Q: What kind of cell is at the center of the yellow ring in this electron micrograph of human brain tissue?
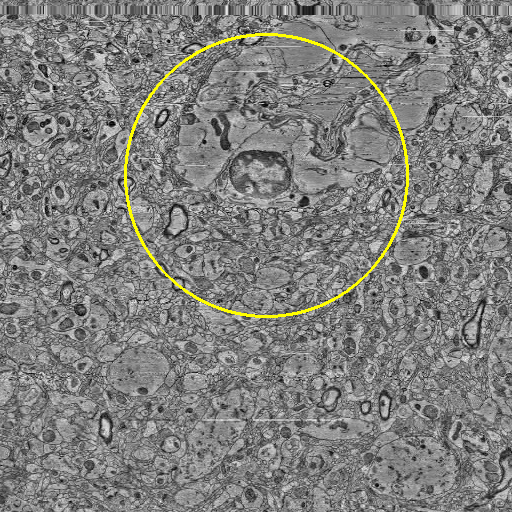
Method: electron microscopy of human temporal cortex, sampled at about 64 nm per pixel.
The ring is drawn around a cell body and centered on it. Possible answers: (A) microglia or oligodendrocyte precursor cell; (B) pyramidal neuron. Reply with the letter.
A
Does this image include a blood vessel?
Yes, the picture includes a blood vessel.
